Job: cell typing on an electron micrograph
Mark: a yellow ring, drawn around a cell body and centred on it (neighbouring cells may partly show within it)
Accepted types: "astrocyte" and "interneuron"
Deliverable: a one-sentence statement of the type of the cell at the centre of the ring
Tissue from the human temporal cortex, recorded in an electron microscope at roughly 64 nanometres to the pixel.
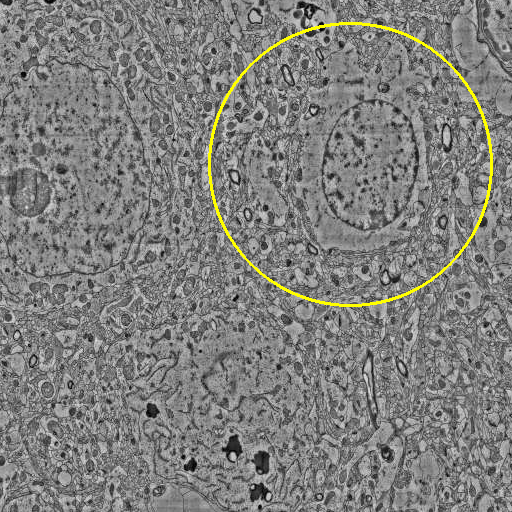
The centred cell body is that of an astrocyte.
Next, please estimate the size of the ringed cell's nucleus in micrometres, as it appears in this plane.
In this plane the nucleus is about 8 micrometres by 6.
